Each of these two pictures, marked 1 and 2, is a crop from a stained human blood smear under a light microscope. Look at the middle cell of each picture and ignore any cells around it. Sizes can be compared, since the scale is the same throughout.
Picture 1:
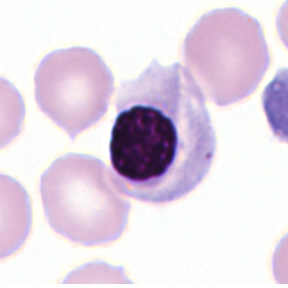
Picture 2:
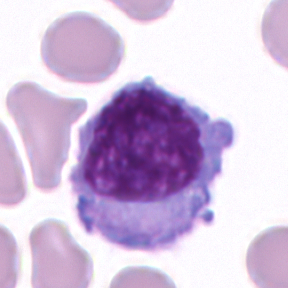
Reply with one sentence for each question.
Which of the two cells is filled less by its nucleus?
In picture 1 the nucleus takes up the smaller part of its cell.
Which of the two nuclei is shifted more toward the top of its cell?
It is the nucleus in picture 2 that lies further toward the top of its cell.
